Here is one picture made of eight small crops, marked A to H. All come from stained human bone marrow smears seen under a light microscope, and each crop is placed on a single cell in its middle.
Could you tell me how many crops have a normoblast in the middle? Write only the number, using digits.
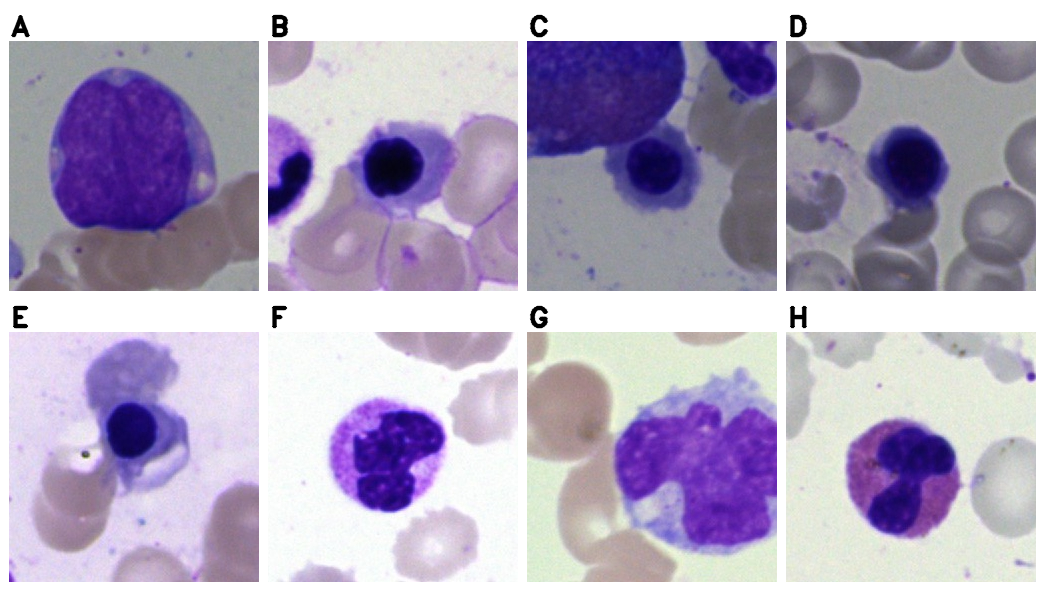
4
